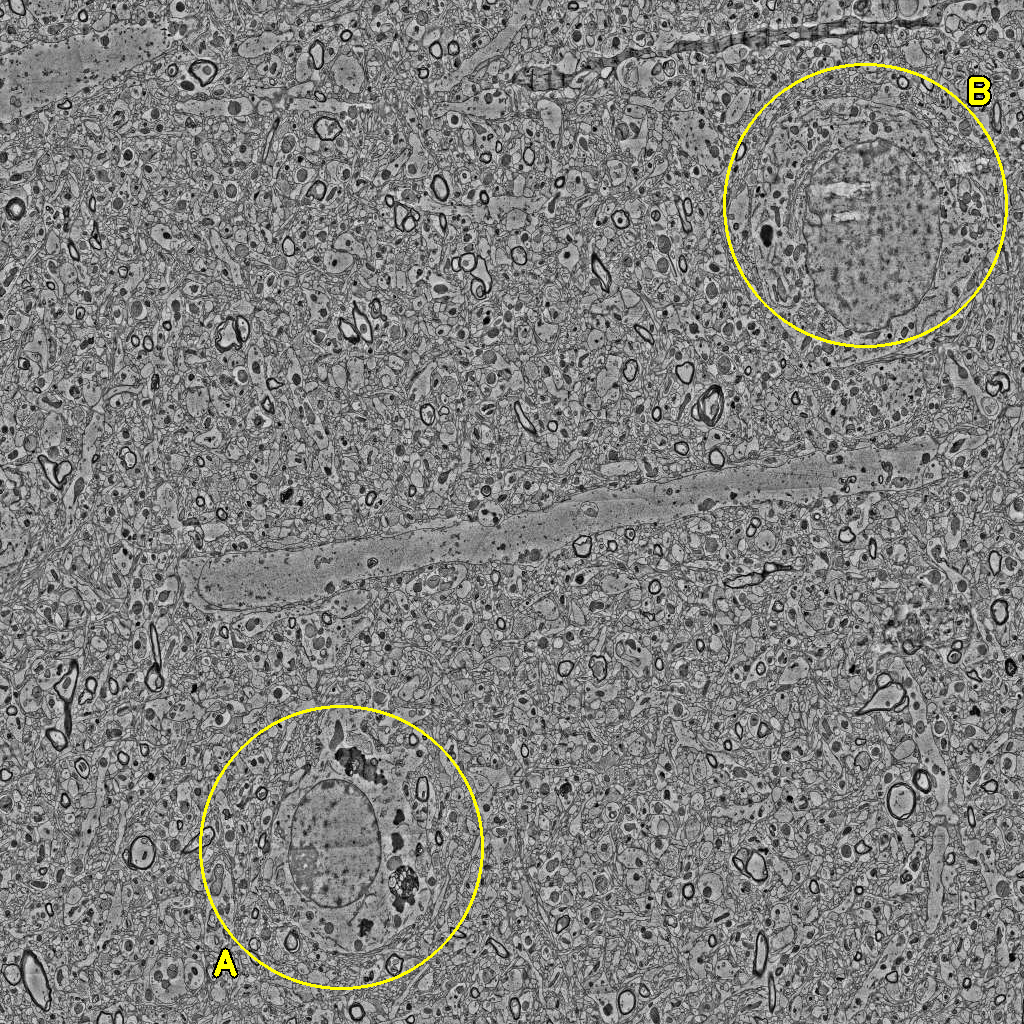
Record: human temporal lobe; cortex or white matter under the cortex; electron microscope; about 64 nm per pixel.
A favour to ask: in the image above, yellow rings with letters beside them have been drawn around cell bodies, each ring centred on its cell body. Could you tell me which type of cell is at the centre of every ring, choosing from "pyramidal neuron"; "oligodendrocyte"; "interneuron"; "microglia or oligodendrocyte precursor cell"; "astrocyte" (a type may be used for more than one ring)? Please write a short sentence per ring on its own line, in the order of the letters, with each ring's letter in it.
Ring A holds an astrocyte at its centre.
Ring B holds an interneuron at its centre.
